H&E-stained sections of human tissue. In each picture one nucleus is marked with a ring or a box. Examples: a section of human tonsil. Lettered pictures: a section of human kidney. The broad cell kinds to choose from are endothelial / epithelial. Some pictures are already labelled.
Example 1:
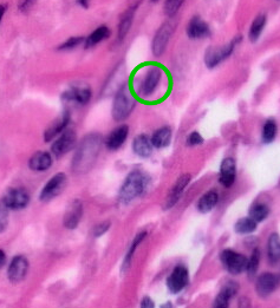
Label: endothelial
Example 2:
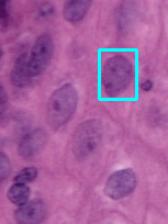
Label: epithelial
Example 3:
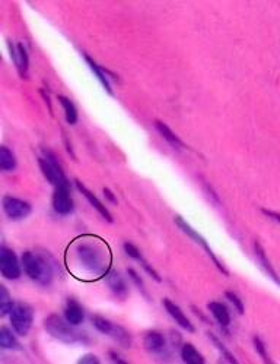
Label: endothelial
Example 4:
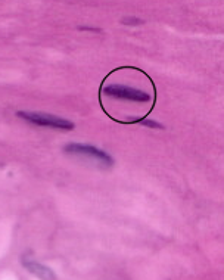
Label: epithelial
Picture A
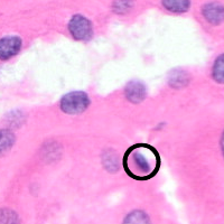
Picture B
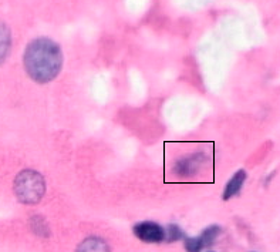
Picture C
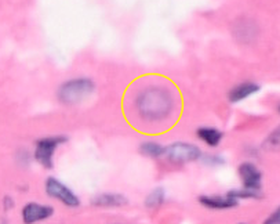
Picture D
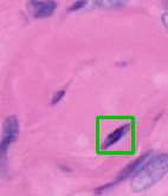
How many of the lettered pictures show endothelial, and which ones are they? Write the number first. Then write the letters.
2: A, D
